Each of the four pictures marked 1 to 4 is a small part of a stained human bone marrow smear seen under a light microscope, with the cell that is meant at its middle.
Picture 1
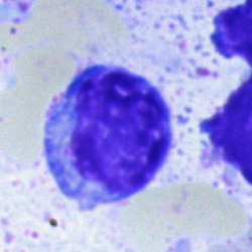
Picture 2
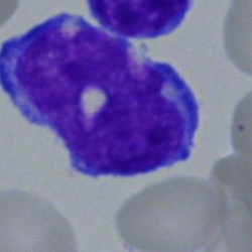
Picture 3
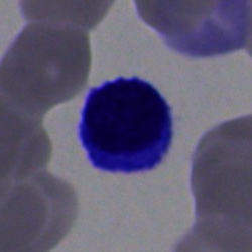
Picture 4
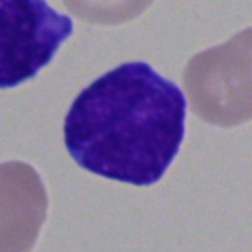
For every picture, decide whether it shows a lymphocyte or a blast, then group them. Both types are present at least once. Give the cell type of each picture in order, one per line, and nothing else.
lymphocyte
blast
lymphocyte
blast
